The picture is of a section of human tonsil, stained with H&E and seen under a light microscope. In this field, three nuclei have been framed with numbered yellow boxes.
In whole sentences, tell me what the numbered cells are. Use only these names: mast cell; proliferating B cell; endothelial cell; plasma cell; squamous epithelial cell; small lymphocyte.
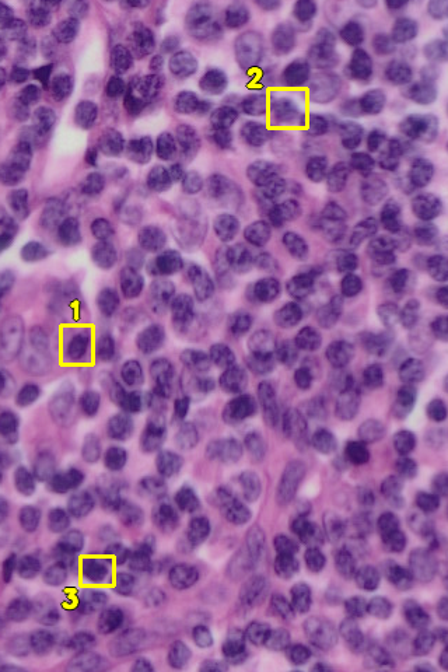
Cell 1 is an endothelial cell, cell 2 is a small lymphocyte and cell 3 is a small lymphocyte.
